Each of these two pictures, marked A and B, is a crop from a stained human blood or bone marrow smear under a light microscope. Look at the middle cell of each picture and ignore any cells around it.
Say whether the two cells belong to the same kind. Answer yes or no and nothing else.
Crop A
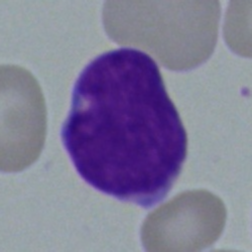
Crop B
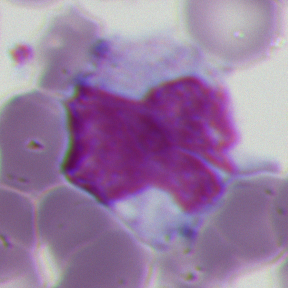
no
